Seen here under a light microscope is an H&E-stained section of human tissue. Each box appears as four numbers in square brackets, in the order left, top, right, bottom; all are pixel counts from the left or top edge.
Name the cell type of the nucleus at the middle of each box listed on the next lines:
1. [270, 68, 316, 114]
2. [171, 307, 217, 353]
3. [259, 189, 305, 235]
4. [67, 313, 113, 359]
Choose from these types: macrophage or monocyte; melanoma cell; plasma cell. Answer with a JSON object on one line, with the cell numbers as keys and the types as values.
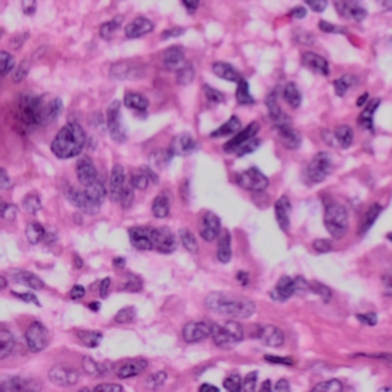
{"1": "melanoma cell", "2": "melanoma cell", "3": "melanoma cell", "4": "macrophage or monocyte"}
